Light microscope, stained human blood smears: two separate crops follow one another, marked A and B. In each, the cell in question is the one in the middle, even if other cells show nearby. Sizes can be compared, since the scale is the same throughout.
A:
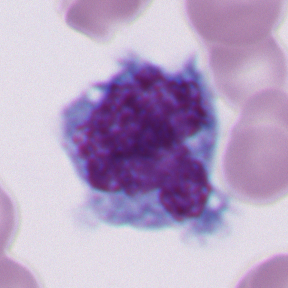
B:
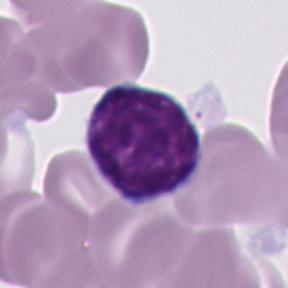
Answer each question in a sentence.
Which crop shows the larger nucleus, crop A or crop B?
Crop A shows the larger nucleus; it covers about 1.5 times the area of the nucleus in crop B.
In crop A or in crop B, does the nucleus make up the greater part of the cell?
Of the two, the nucleus in crop B makes up the greater part of its cell.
